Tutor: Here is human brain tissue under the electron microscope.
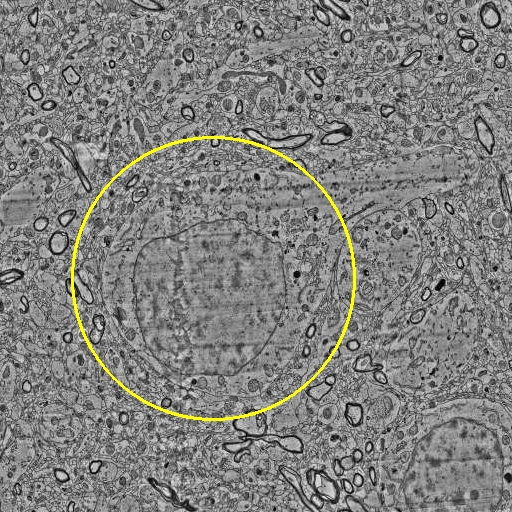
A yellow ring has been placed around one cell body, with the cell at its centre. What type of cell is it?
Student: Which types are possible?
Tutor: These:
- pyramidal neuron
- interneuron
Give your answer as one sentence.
What the ring picks out here is a pyramidal neuron.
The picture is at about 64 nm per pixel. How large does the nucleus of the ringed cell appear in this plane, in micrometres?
About 10 micrometres across in this plane.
